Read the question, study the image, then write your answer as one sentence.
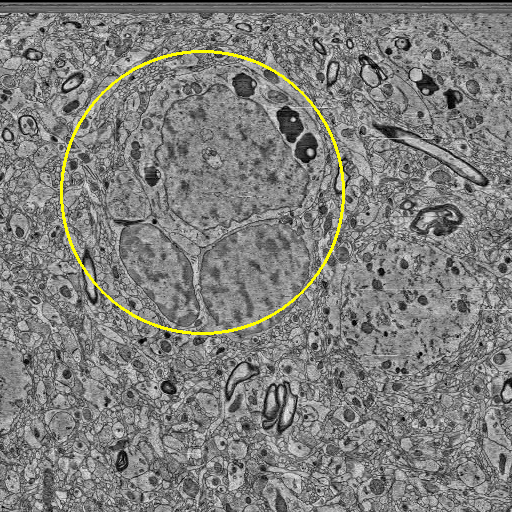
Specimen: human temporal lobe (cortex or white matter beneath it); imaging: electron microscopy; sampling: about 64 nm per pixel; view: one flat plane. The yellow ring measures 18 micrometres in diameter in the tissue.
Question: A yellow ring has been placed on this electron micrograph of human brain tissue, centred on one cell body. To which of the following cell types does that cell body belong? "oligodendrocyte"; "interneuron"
That cell body belongs to an interneuron.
